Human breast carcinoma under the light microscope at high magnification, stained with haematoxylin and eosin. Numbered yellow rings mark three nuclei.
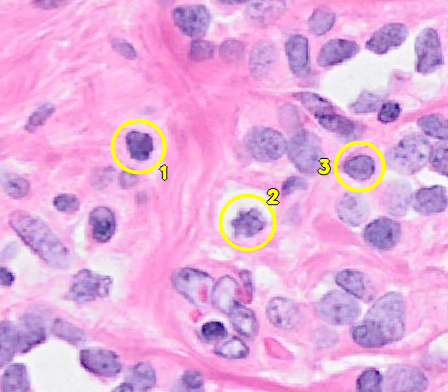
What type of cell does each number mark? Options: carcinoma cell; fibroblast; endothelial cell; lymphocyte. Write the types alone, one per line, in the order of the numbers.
lymphocyte
carcinoma cell
carcinoma cell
